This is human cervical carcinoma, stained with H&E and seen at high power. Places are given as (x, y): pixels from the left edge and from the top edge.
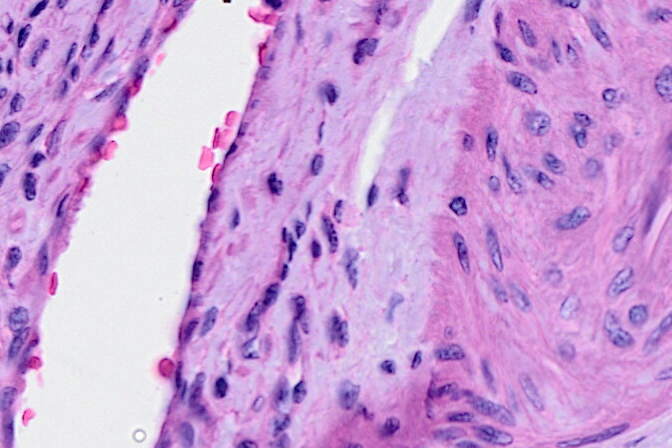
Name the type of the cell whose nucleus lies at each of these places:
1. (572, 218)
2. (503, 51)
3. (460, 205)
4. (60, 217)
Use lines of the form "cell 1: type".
cell 1: smooth muscle cell
cell 2: smooth muscle cell
cell 3: smooth muscle cell
cell 4: endothelial cell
